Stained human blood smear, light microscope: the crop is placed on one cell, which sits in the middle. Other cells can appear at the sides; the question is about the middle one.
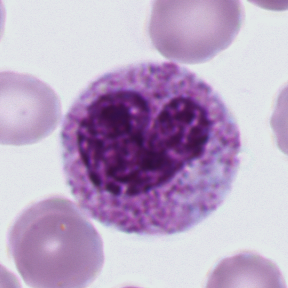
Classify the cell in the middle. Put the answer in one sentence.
In the middle of this smear crop, the cell is a band neutrophil.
